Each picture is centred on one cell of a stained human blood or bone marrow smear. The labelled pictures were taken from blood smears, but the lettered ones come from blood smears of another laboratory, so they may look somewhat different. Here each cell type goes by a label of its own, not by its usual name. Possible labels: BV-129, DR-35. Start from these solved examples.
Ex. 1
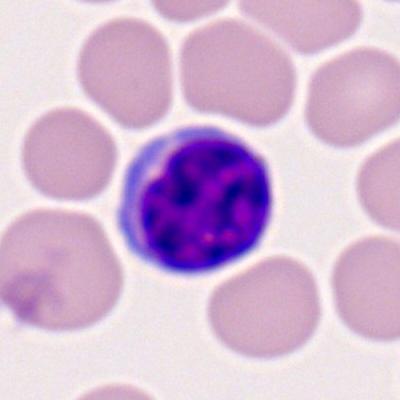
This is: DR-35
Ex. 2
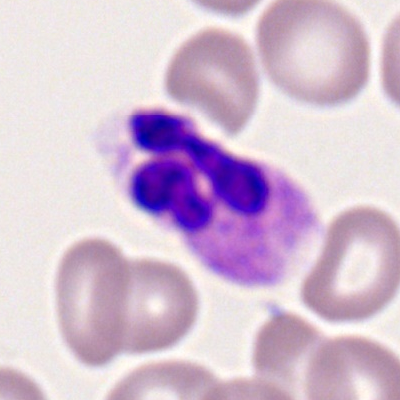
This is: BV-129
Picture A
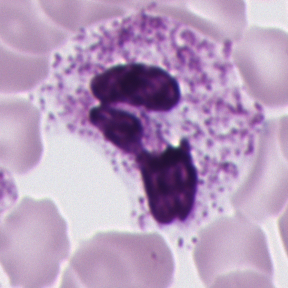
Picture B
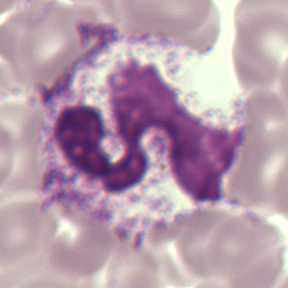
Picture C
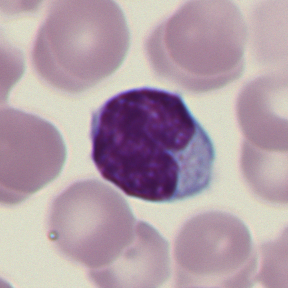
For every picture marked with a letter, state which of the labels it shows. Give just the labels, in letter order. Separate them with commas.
BV-129, BV-129, DR-35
